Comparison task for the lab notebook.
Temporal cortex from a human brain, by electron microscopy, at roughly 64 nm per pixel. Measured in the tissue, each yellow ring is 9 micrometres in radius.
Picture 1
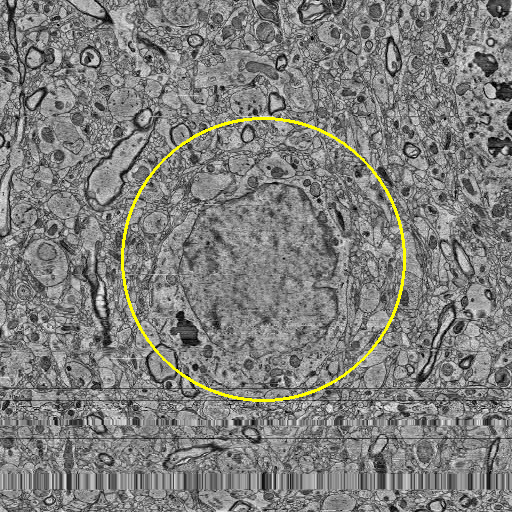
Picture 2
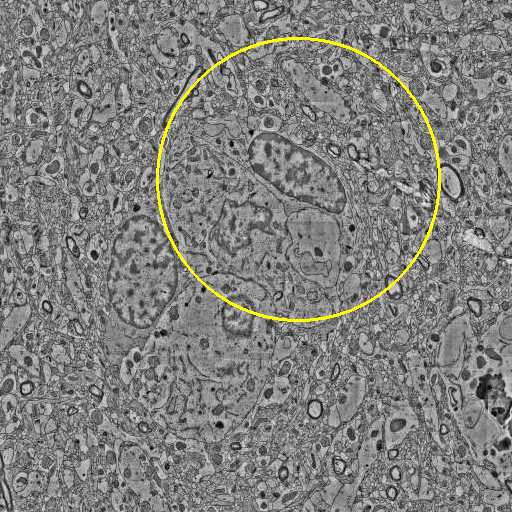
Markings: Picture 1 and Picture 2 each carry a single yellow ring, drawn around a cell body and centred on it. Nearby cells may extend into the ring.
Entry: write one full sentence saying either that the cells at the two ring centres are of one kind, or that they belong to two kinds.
The cells sitting at the ring centres in Picture 1 and Picture 2 belong to two kinds.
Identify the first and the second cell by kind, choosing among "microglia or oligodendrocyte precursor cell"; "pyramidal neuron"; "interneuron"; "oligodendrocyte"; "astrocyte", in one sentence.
The one in the first picture is an interneuron, while the one in the second is a microglial cell or oligodendrocyte precursor cell.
